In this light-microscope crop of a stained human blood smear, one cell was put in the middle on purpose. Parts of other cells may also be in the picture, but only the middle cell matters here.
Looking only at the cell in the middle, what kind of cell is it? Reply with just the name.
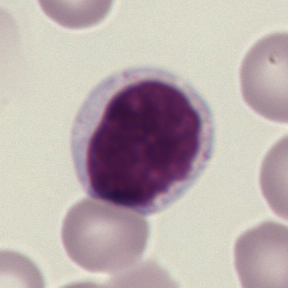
large granular lymphocyte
